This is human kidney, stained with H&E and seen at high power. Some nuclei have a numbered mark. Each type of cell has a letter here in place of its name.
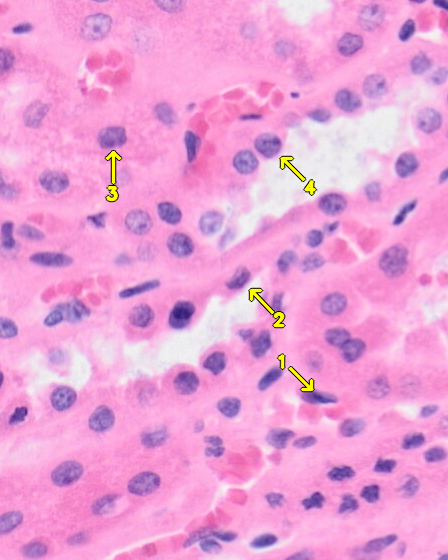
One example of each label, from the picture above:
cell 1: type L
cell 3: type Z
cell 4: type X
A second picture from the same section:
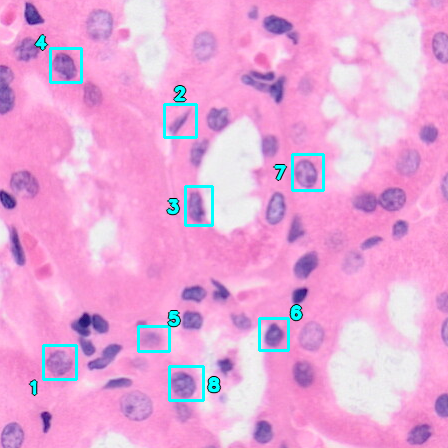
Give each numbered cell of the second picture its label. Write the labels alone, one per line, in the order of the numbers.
type Z
type L
type X
type Z
type X
type X
type Z
type X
